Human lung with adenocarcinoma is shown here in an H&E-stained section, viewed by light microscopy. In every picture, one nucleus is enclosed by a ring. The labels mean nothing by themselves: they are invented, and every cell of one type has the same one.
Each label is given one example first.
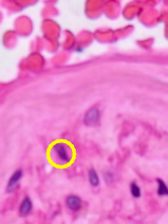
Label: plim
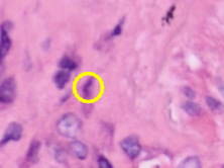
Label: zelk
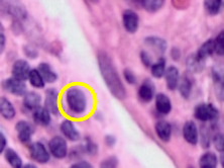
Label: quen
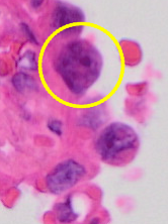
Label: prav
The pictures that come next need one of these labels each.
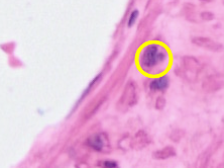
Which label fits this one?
plim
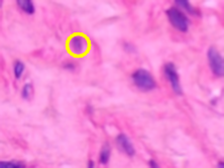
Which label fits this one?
plim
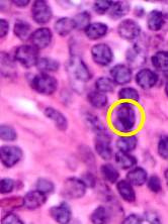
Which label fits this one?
quen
